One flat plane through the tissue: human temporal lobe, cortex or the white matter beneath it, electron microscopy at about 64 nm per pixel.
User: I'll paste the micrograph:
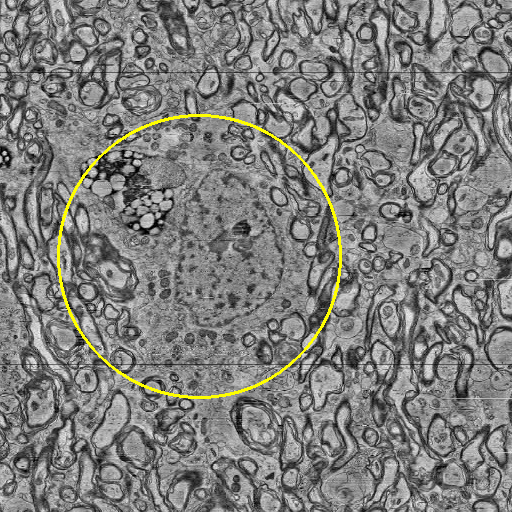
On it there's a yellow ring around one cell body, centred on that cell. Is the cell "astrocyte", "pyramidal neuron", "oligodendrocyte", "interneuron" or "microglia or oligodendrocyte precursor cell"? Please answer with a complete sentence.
The cell ringed in yellow is an astrocyte.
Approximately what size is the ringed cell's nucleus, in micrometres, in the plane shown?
In this plane, the nucleus is roughly 10 by 7 micrometres.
